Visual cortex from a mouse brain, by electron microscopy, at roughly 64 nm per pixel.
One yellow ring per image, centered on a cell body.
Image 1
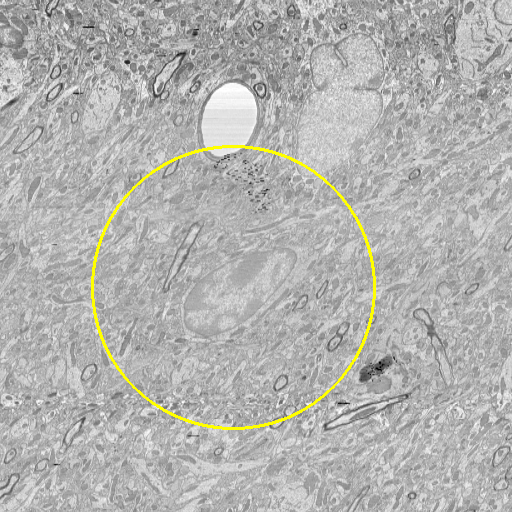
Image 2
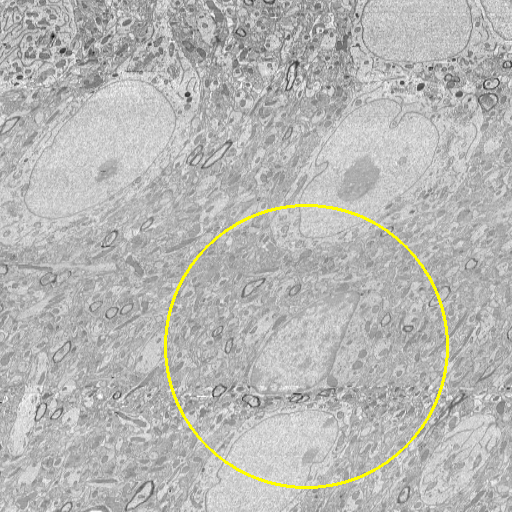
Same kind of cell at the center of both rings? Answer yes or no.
yes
